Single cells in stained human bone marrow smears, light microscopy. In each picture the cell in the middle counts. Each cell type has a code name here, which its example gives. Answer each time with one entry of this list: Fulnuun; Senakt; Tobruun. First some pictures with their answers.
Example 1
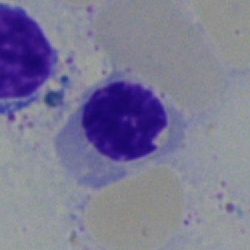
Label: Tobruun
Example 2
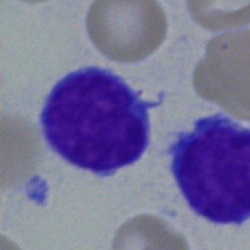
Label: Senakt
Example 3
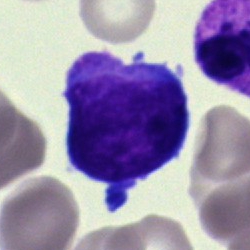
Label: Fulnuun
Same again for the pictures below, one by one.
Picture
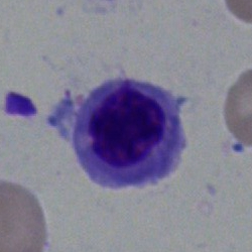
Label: Tobruun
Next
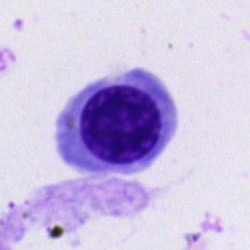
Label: Tobruun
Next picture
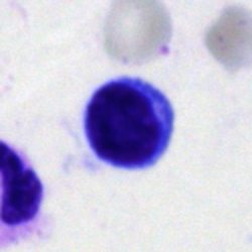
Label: Senakt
